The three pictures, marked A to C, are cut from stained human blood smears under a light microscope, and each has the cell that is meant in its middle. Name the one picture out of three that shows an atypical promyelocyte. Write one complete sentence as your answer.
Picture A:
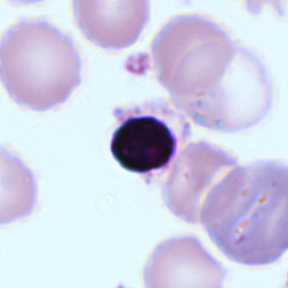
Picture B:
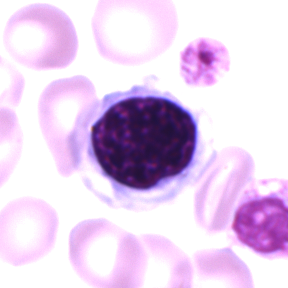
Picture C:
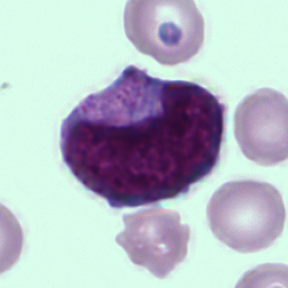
Picture C is the one that shows the atypical promyelocyte.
